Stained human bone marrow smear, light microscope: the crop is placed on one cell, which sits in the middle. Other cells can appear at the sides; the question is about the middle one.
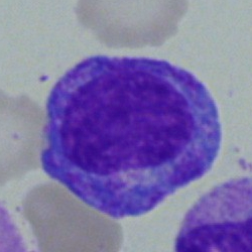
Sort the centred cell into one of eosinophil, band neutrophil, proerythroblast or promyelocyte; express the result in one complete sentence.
The cell nearest the centre of this crop is a promyelocyte.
